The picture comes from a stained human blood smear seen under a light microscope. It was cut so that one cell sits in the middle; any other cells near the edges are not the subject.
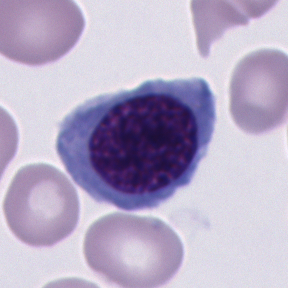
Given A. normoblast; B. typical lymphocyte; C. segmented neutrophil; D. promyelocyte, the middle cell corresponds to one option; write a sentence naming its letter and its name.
Here the central cell is a normoblast, and option A is correct.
